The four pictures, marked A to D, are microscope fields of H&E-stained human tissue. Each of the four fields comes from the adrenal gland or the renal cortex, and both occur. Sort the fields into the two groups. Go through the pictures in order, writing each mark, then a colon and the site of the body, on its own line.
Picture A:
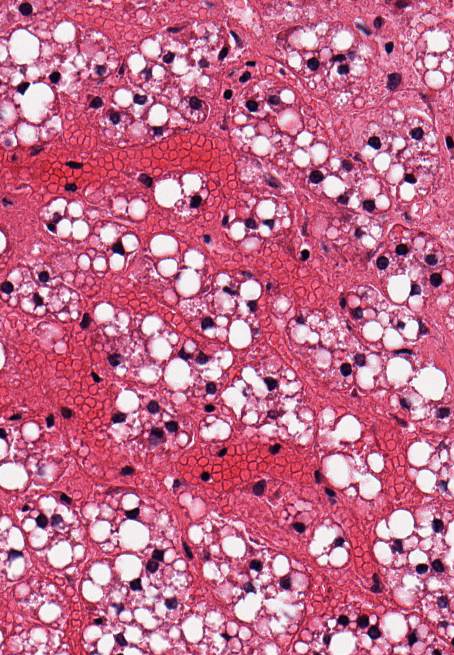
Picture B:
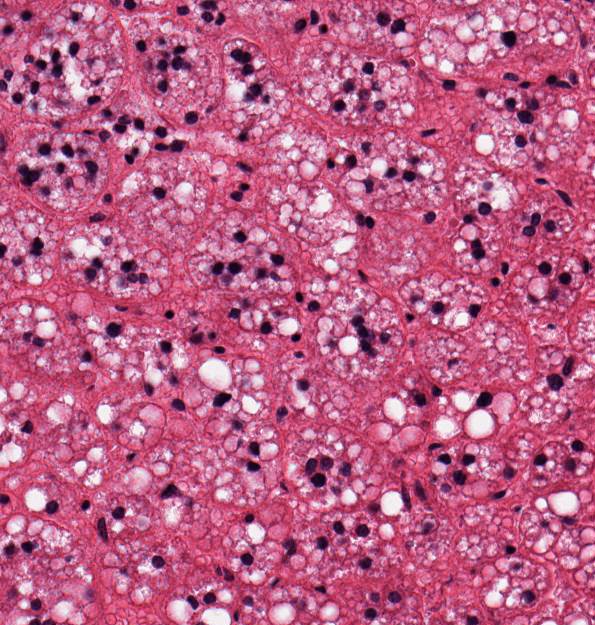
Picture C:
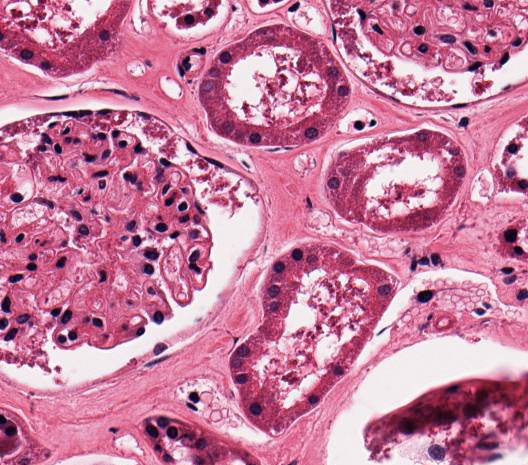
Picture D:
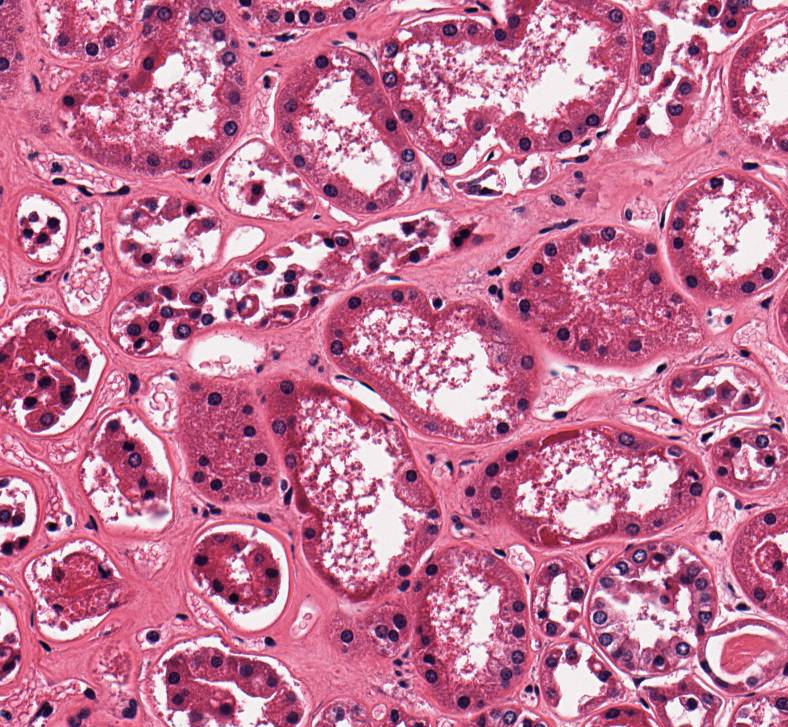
A: adrenal gland
B: adrenal gland
C: renal cortex
D: renal cortex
